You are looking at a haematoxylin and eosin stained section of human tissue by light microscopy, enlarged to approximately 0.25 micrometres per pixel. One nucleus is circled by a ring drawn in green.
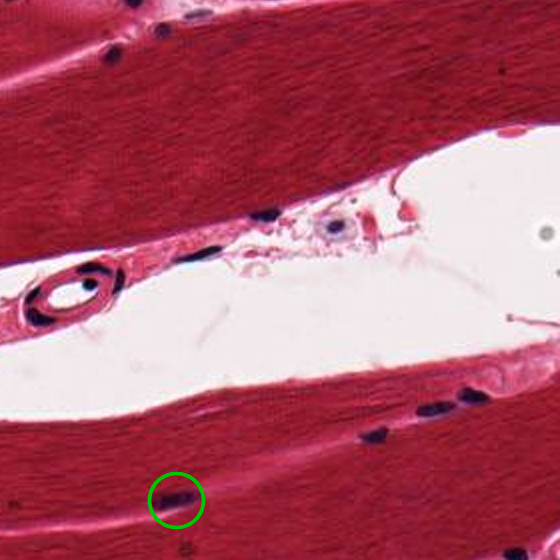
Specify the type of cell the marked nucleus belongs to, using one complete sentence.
The mark identifies the nucleus of a skeletal muscle fibre.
